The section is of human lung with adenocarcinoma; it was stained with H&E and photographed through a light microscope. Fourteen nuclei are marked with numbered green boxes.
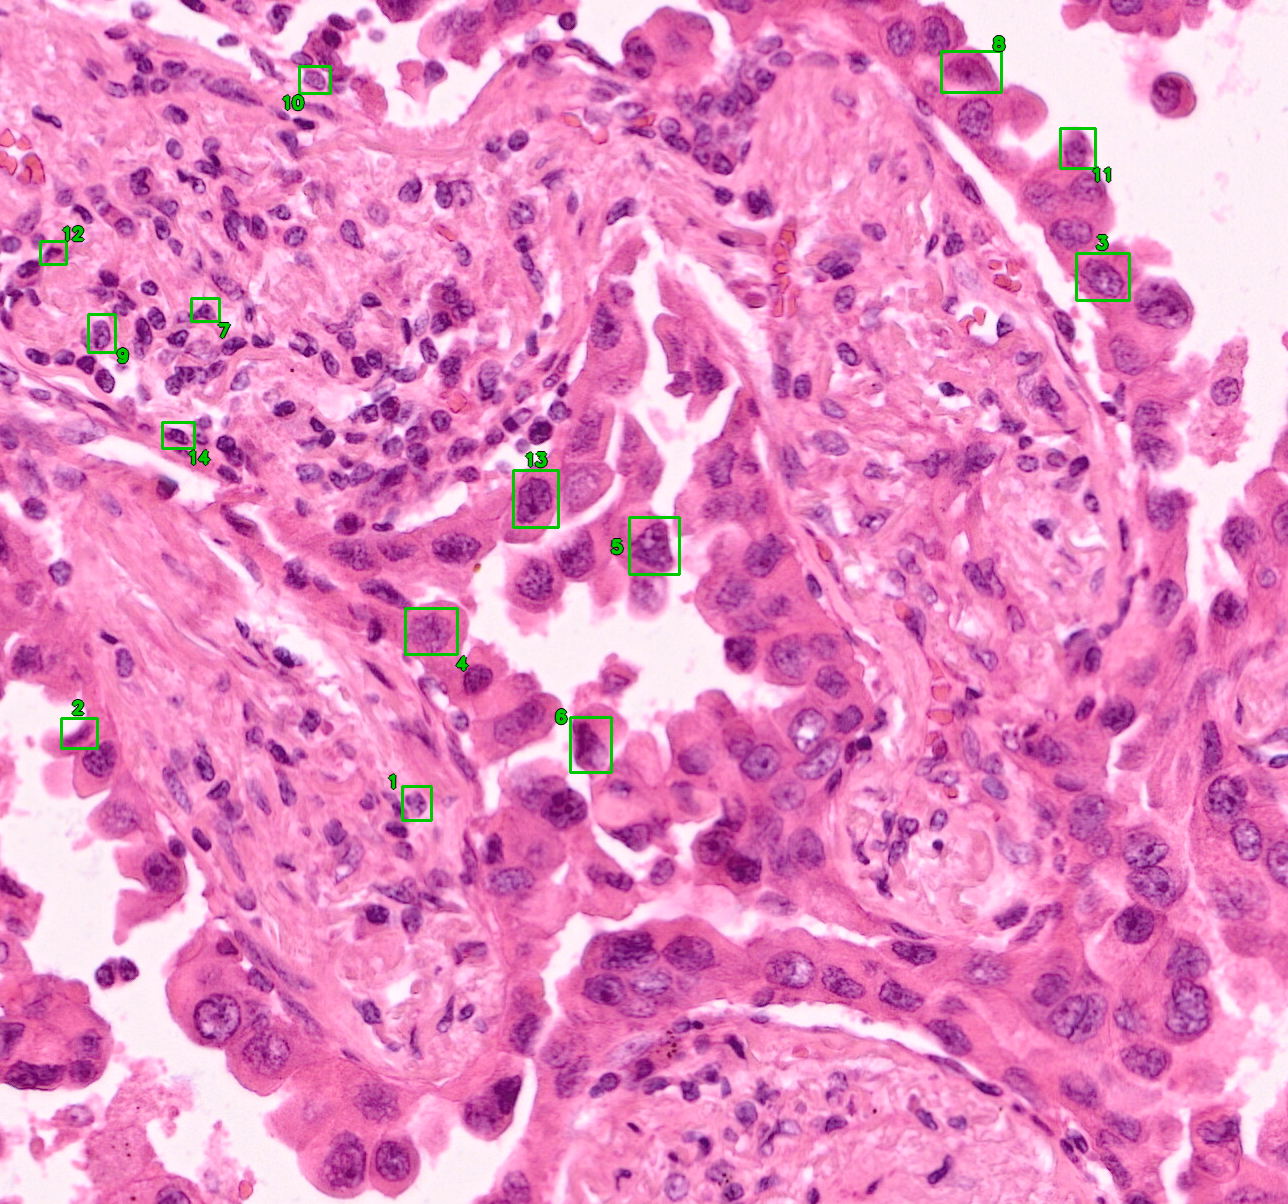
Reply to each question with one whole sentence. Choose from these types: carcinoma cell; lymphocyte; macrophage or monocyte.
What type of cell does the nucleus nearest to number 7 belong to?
The nucleus nearest to number 7 is that of a lymphocyte.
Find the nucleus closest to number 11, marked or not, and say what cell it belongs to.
Closest to number 11 lies the nucleus of a carcinoma cell.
